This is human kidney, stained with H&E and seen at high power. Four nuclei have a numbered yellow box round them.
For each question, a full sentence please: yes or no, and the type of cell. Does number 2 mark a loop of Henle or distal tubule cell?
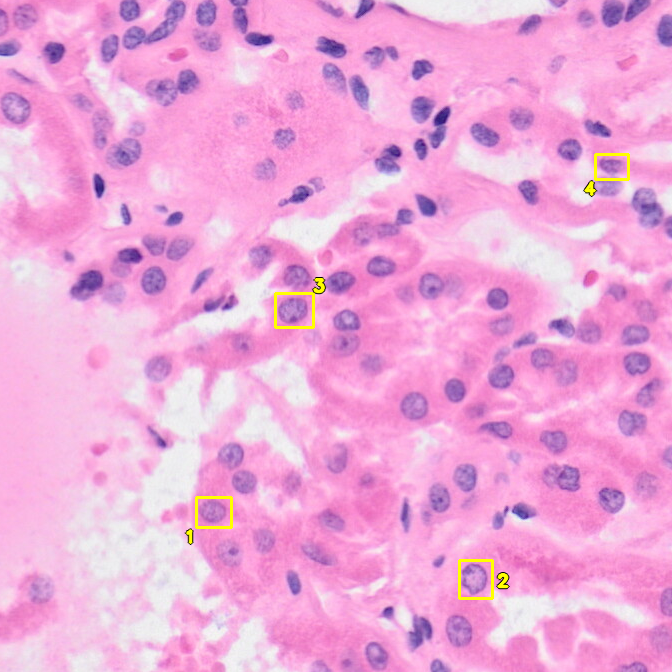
No, the cell under number 2 is a proximal tubule cell instead of a loop of Henle or distal tubule cell.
